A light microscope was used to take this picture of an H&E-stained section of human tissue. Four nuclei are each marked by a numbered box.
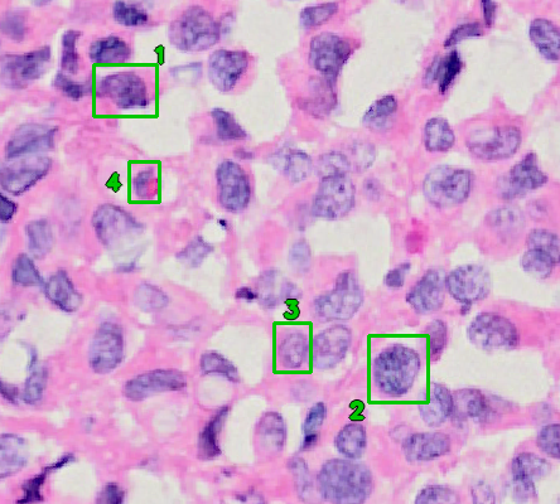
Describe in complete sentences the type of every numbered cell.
Cells 1, 2 and 3 are carcinoma cells. Cell 4 is an endothelial cell.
